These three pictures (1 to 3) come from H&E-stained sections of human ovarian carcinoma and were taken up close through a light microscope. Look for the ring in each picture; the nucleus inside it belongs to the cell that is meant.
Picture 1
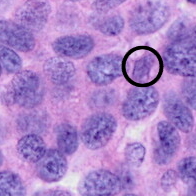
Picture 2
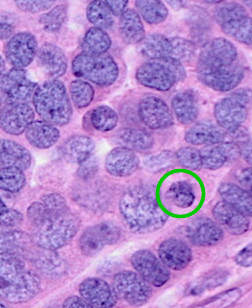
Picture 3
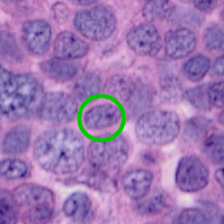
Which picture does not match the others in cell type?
2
